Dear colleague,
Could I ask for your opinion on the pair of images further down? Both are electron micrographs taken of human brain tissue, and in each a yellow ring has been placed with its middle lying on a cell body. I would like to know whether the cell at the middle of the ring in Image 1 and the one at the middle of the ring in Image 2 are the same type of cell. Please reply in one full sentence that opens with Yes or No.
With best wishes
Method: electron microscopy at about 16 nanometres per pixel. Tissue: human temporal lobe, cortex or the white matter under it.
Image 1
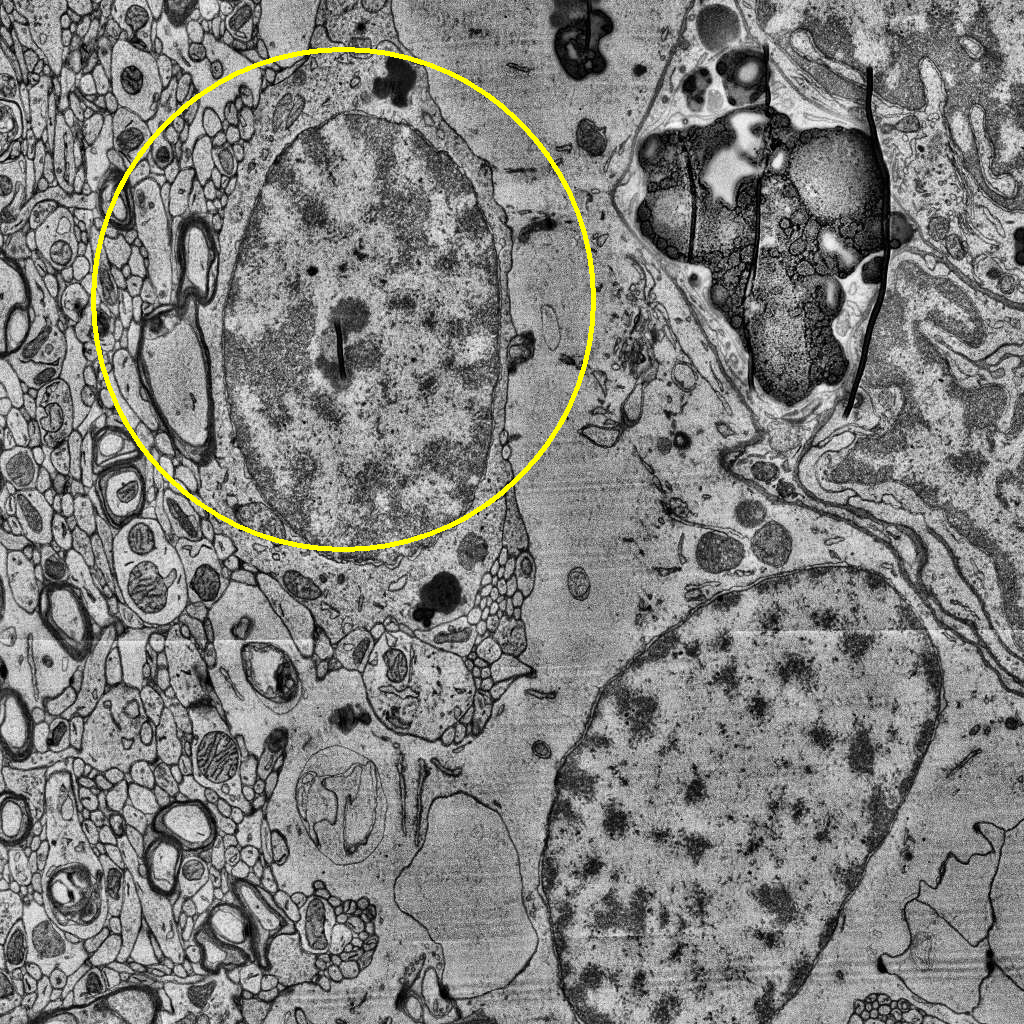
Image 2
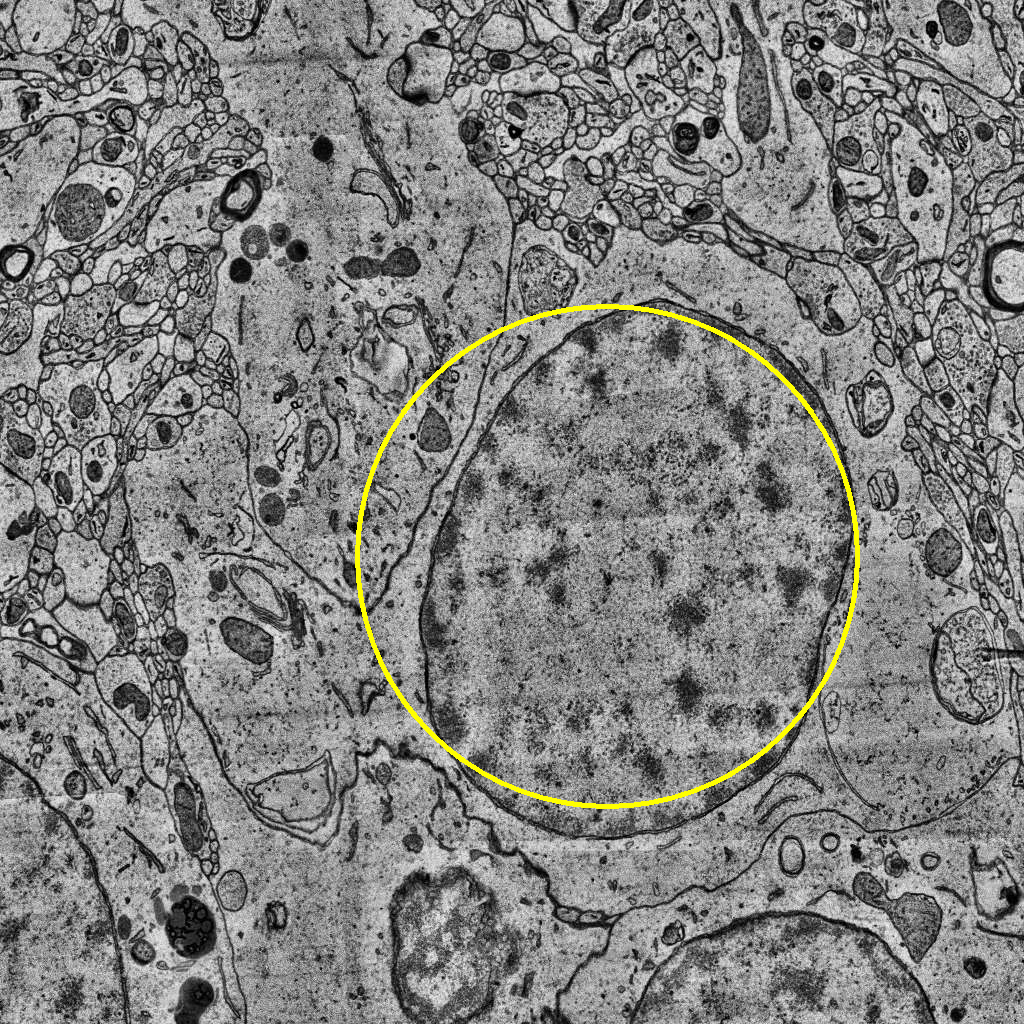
No, the cells at the ring centres in Image 1 and Image 2 are of two types.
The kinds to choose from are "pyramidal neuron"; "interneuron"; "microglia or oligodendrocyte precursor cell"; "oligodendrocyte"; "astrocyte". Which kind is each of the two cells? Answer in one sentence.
The cell in the first picture is an oligodendrocyte, and the cell in the second is an astrocyte.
